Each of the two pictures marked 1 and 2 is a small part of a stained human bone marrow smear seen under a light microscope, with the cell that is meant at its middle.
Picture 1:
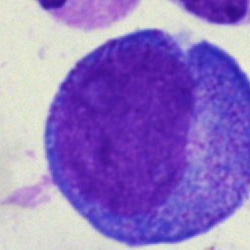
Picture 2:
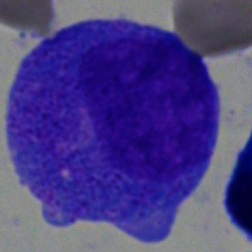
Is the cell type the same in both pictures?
yes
